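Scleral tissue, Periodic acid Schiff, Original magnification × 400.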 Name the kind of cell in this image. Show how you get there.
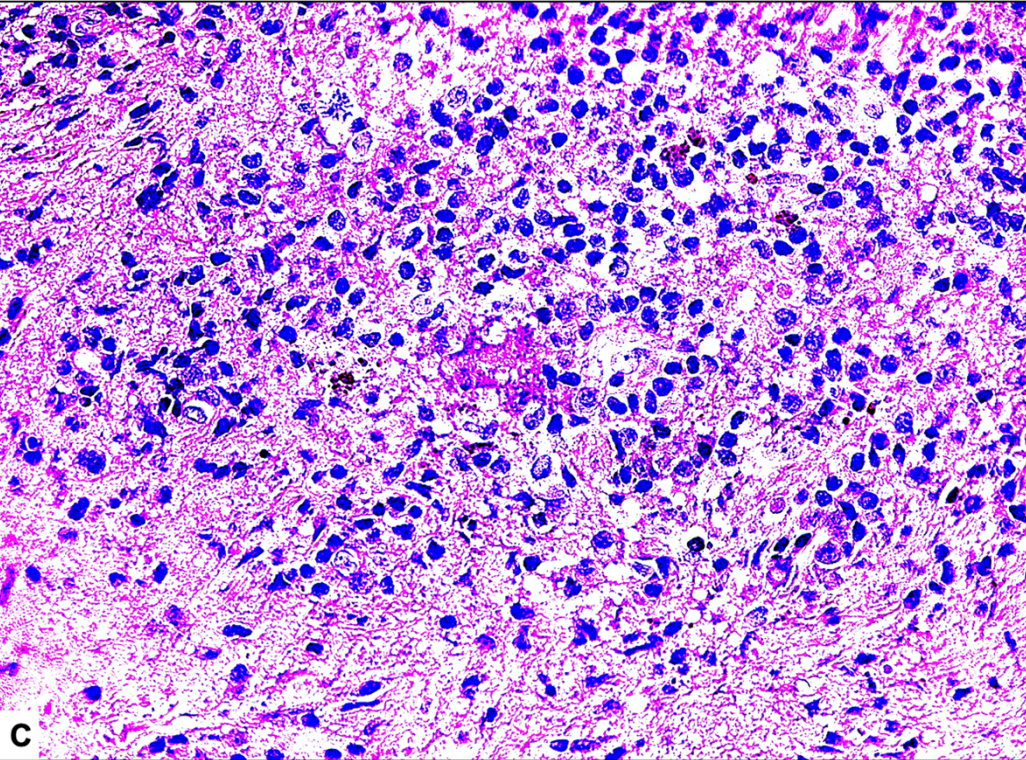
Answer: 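A dense infiltrate of closely packed cells fills the upper and middle part of the panel. The cells have round to oval dark blue nuclei. The cells lie in a loose, pale pink fibrillar stroma. So: chronic inflammatory cells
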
